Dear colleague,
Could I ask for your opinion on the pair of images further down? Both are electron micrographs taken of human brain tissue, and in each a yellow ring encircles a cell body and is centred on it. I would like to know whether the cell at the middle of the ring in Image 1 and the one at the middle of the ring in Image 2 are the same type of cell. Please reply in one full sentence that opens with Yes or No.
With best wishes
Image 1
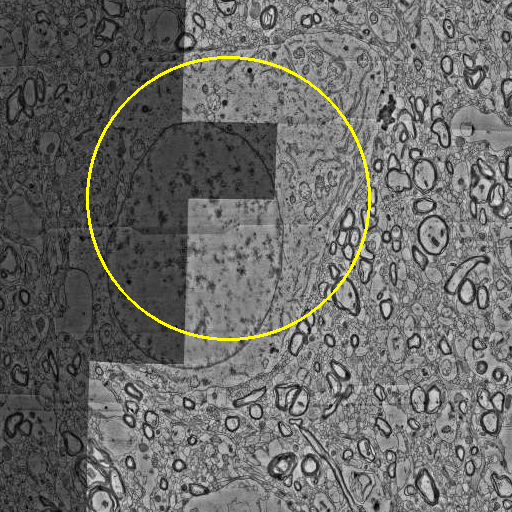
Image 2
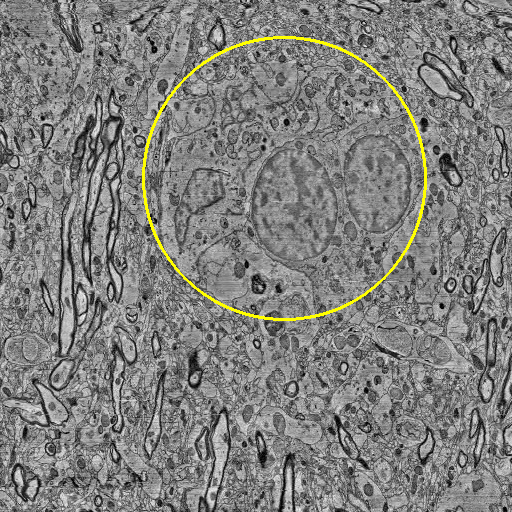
No, the cells at the ring centres in Image 1 and Image 2 are of two types.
